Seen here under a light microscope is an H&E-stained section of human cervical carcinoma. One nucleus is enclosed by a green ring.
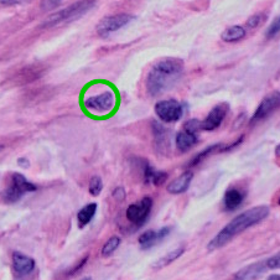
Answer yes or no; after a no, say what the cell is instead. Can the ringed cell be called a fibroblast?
No, it is a lymphocyte.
